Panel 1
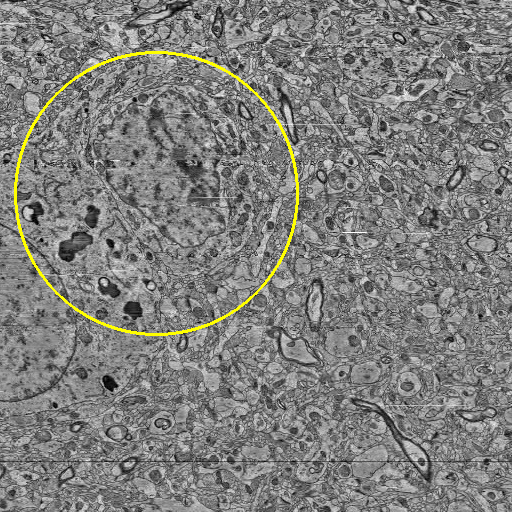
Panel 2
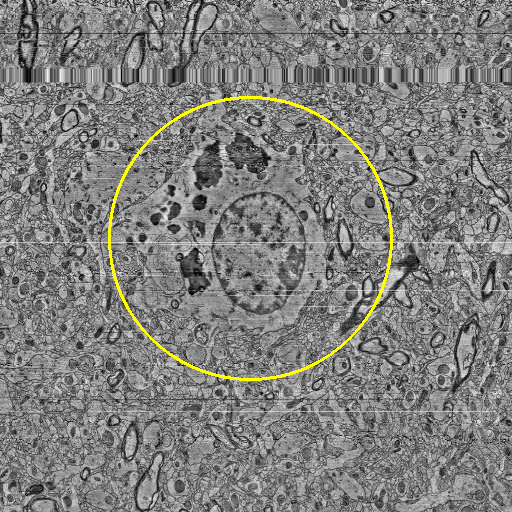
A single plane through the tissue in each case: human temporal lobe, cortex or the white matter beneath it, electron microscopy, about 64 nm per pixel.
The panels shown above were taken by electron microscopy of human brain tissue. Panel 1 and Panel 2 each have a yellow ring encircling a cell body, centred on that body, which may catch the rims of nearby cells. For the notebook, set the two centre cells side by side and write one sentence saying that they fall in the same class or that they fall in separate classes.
The centred cells of Panel 1 and Panel 2 fall in separate classes.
